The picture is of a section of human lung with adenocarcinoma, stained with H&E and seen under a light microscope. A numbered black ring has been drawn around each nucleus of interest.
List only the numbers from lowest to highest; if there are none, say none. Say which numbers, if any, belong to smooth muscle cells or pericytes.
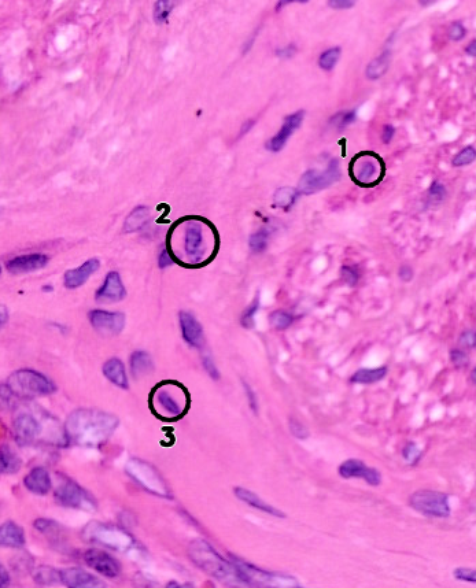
1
